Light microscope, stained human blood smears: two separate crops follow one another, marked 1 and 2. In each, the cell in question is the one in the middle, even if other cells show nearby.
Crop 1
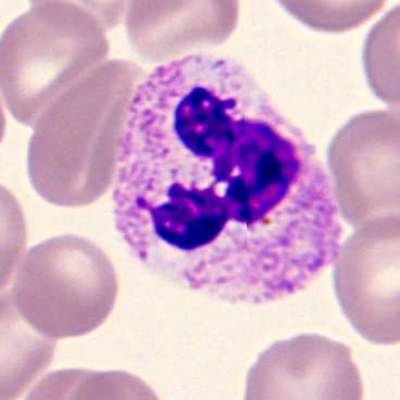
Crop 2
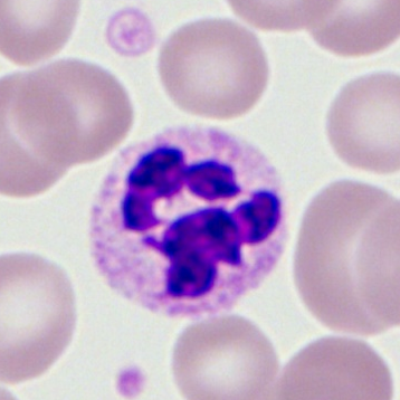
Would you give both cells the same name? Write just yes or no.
yes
